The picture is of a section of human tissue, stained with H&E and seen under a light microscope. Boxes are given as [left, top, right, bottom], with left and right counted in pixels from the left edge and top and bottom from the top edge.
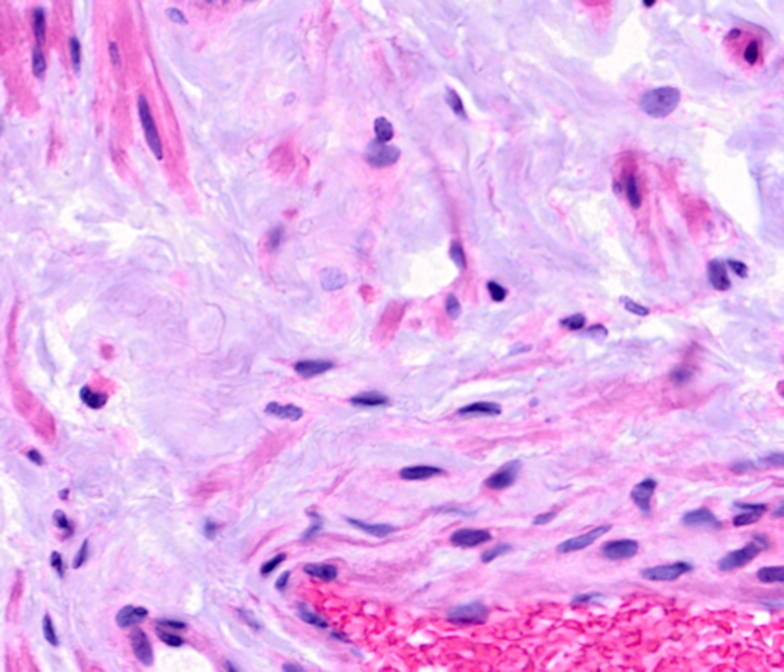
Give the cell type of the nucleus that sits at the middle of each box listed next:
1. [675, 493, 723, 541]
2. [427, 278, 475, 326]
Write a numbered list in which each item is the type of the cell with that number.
1. fibroblast
2. smooth muscle cell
